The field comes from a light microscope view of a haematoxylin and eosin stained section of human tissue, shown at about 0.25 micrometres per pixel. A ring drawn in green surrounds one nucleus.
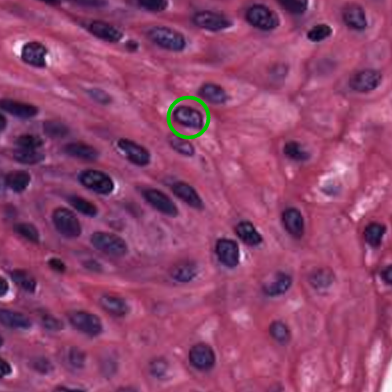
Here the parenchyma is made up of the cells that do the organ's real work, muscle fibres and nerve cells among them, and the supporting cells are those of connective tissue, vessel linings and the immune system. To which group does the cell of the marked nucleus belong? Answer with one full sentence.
The marked nucleus is that of a cell of the parenchyma, namely a squamous epithelial cell.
